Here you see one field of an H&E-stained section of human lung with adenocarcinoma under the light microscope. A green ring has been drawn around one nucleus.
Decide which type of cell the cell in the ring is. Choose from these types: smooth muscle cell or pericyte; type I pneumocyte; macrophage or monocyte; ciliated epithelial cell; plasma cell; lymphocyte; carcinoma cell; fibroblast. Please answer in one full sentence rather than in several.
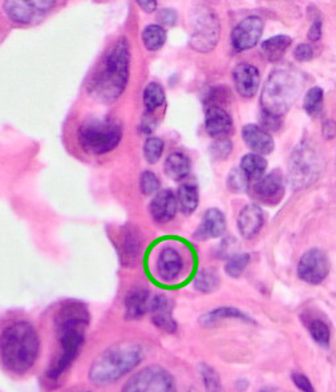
In terms of identity, the cell in the ring is a plasma cell.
